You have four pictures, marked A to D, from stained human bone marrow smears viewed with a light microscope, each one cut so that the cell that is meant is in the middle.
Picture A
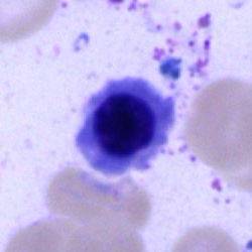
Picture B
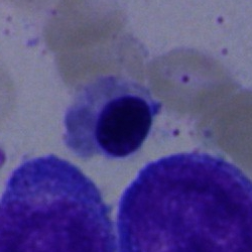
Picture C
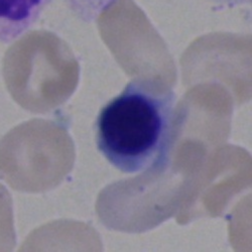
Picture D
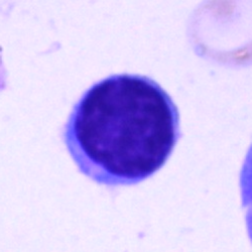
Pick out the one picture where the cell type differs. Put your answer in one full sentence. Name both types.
Unlike the rest, which show erythroblasts, picture D shows a lymphocyte.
